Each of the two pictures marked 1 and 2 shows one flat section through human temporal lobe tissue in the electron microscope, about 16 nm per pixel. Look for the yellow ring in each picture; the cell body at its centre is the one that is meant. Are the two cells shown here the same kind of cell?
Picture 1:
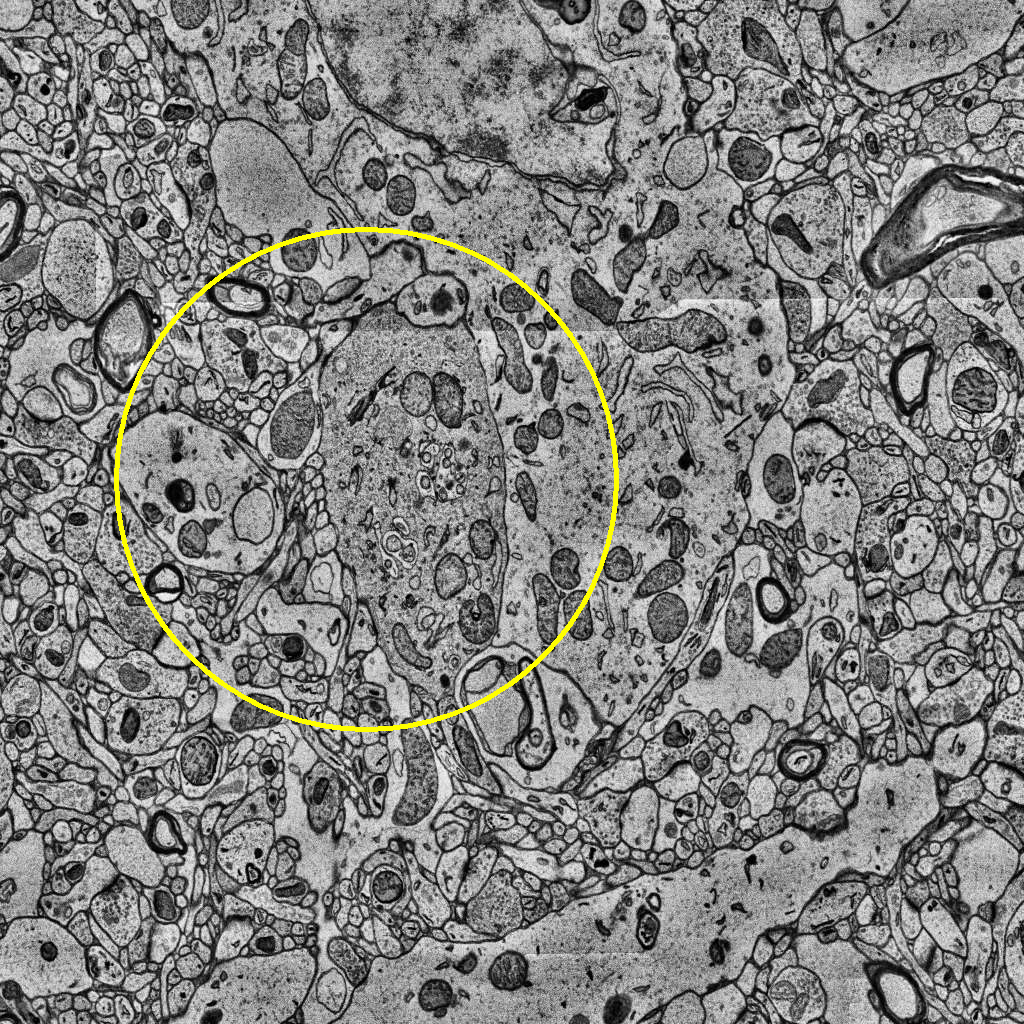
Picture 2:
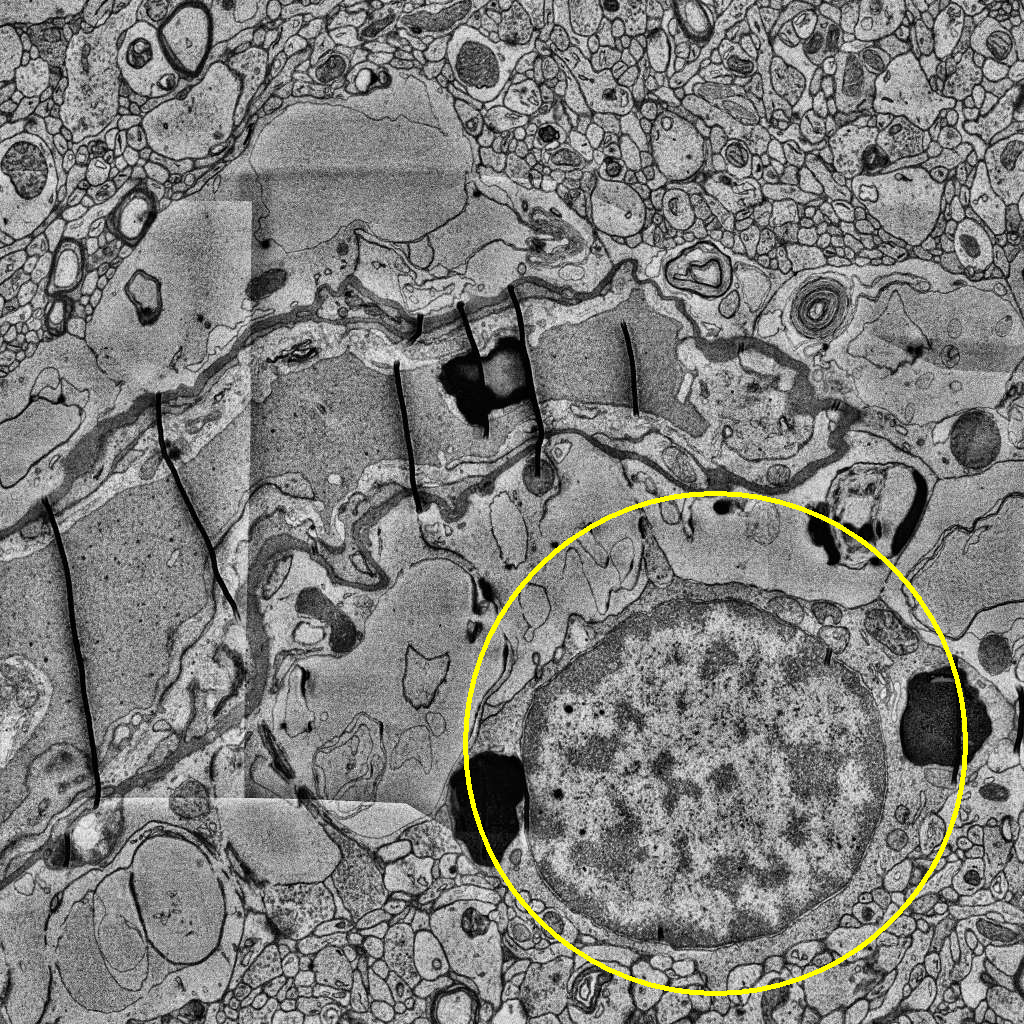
Yes, the two pictures both show oligodendrocytes.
